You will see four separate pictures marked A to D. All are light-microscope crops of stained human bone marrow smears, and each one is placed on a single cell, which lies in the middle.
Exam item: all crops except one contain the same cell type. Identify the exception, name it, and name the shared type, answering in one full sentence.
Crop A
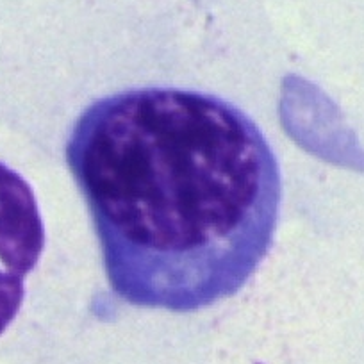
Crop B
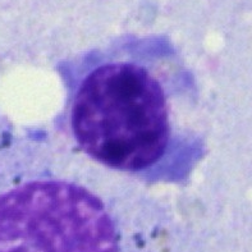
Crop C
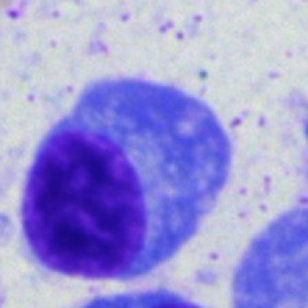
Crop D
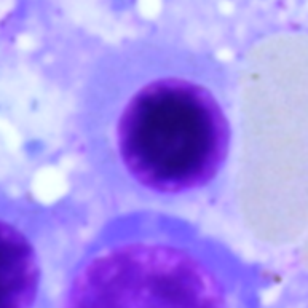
Crop C, showing a plasma cell, is the exception; the others all show erythroblasts.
